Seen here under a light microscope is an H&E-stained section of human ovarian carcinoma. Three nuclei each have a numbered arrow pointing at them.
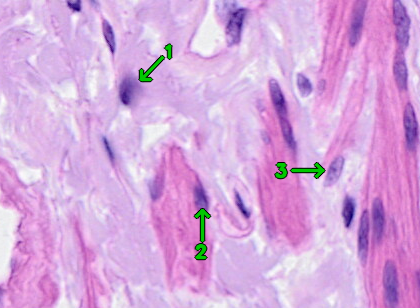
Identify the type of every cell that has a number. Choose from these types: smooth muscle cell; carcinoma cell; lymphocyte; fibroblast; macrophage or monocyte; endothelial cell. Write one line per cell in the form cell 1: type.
cell 1: fibroblast
cell 2: smooth muscle cell
cell 3: smooth muscle cell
